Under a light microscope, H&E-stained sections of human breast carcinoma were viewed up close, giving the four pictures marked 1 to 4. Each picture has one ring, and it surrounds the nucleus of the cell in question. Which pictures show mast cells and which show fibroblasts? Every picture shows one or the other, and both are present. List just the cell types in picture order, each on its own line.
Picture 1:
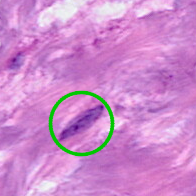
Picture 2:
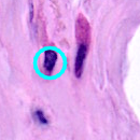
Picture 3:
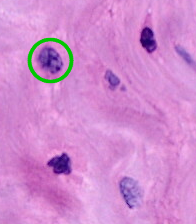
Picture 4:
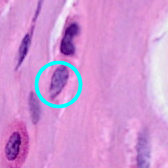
fibroblast
mast cell
mast cell
mast cell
